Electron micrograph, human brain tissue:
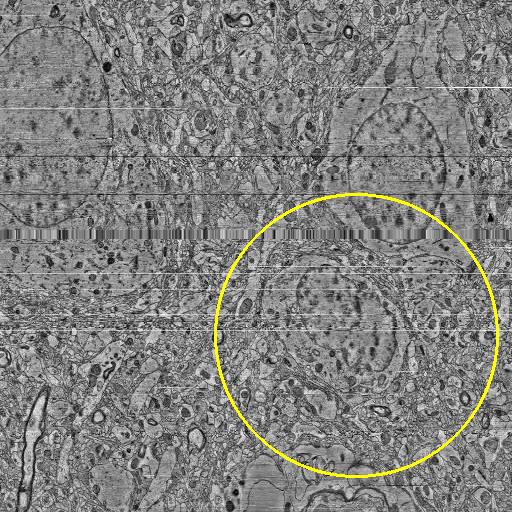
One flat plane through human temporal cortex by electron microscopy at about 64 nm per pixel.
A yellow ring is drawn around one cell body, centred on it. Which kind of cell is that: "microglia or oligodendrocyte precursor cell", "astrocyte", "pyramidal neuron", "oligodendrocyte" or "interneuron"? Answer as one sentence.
It is an interneuron at the centre of the ring.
